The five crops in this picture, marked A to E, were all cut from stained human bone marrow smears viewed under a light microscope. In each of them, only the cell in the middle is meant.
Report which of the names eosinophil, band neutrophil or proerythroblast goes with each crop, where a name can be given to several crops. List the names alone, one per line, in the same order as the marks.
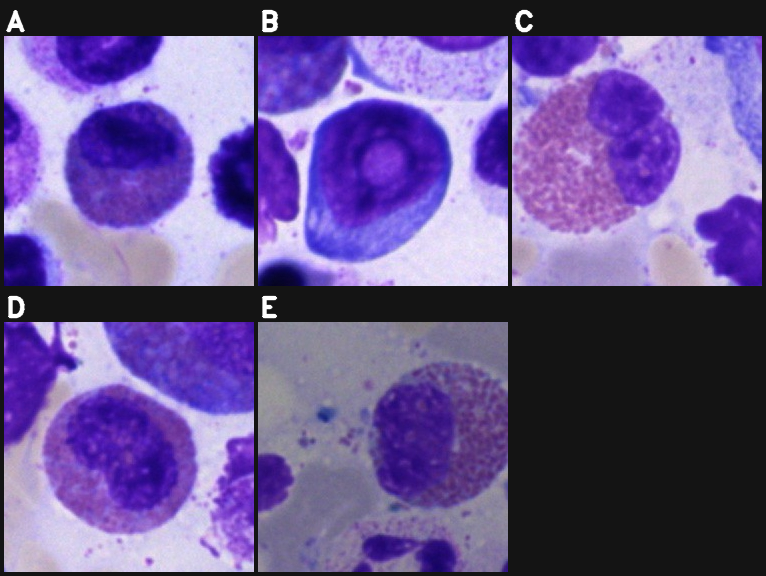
eosinophil
proerythroblast
eosinophil
eosinophil
eosinophil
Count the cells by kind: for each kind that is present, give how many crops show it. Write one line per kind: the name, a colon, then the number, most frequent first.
eosinophil: 4
proerythroblast: 1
